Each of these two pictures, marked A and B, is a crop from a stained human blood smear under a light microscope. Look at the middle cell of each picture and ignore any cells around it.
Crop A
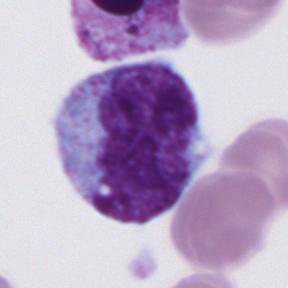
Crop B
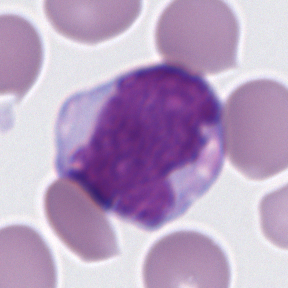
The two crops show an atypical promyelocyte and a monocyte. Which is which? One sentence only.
What is seen in crop A is a monocyte; what is seen in crop B is an atypical promyelocyte.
